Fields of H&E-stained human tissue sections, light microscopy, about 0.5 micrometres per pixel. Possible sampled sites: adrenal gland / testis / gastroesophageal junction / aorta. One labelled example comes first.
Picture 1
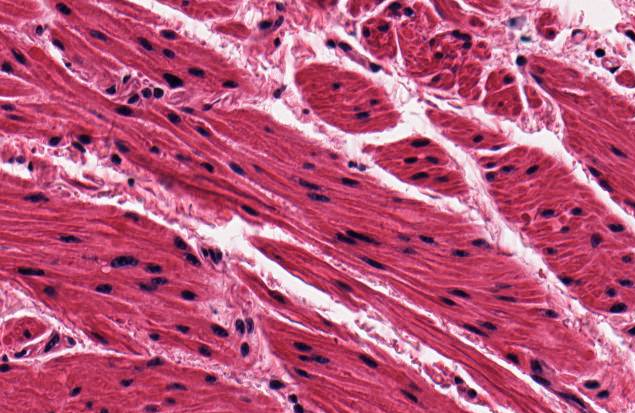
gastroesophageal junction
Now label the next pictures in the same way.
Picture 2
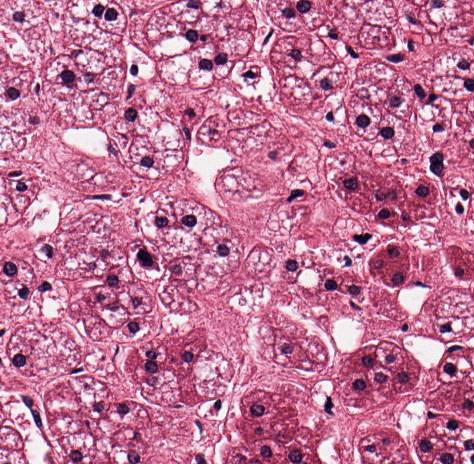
adrenal gland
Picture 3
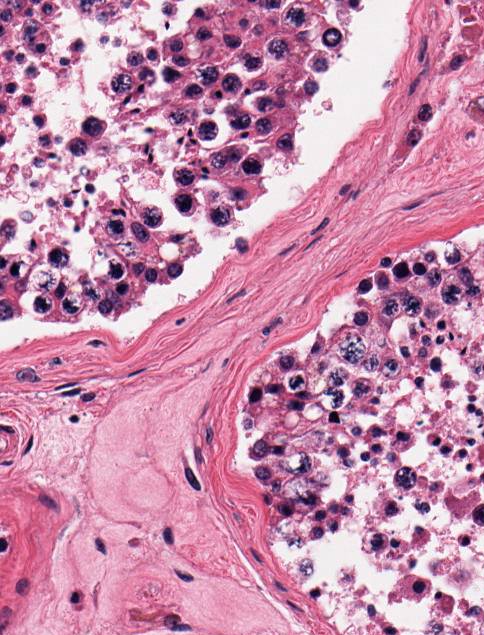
testis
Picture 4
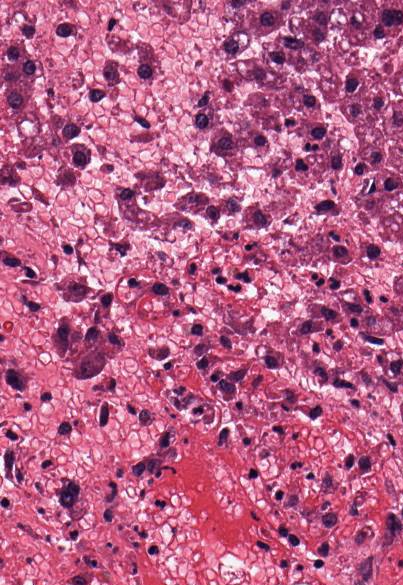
adrenal gland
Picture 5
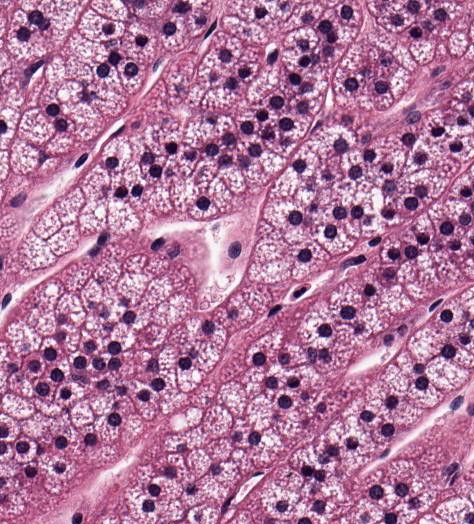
adrenal gland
